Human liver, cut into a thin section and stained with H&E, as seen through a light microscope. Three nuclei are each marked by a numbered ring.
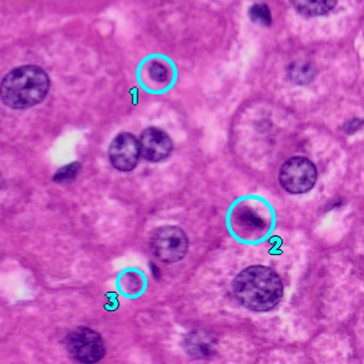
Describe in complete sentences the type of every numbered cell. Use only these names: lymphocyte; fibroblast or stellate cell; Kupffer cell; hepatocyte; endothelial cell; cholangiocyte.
Cell 1 is a lymphocyte, cell 2 is an endothelial cell and cell 3 is a Kupffer cell.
